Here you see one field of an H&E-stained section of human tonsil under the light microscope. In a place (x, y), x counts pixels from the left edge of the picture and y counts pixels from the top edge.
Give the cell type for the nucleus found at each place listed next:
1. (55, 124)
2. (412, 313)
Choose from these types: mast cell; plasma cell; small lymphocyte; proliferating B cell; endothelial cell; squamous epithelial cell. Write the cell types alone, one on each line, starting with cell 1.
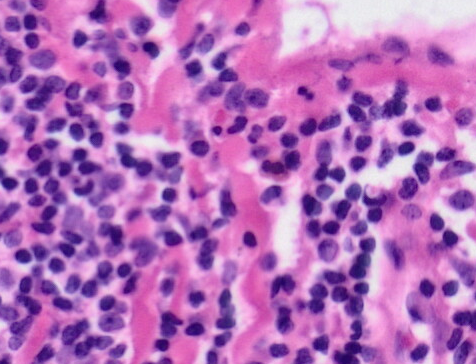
small lymphocyte
endothelial cell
